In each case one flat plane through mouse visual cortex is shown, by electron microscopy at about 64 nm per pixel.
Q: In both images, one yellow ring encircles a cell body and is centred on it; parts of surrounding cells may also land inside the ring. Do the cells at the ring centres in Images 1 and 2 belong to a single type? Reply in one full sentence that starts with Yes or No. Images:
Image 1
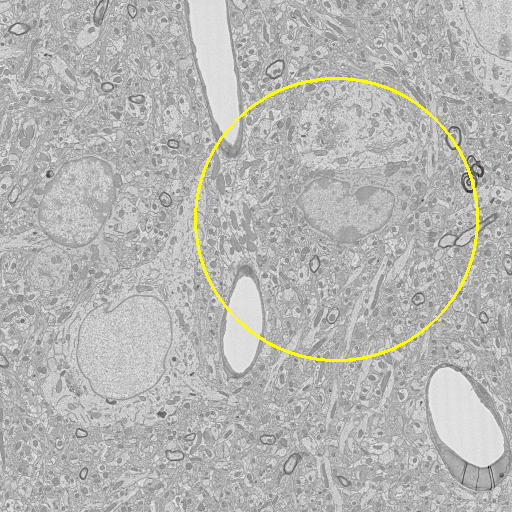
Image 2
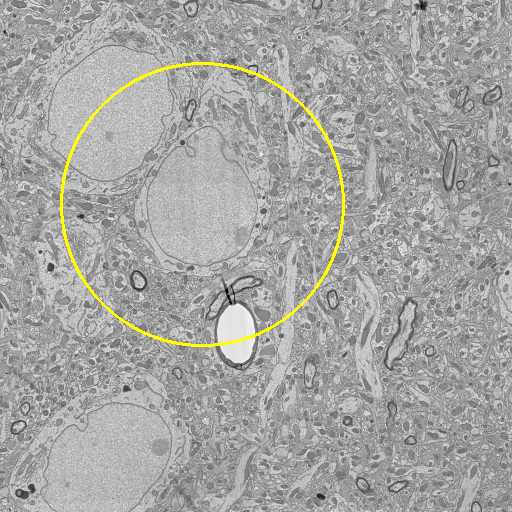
No, the cells at the ring centres in Images 1 and 2 are of two types.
